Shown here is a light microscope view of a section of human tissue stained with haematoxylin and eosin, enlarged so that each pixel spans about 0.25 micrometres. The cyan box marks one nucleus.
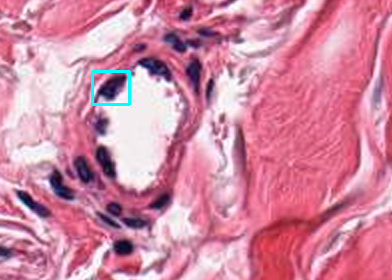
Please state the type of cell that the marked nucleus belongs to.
endothelial cell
